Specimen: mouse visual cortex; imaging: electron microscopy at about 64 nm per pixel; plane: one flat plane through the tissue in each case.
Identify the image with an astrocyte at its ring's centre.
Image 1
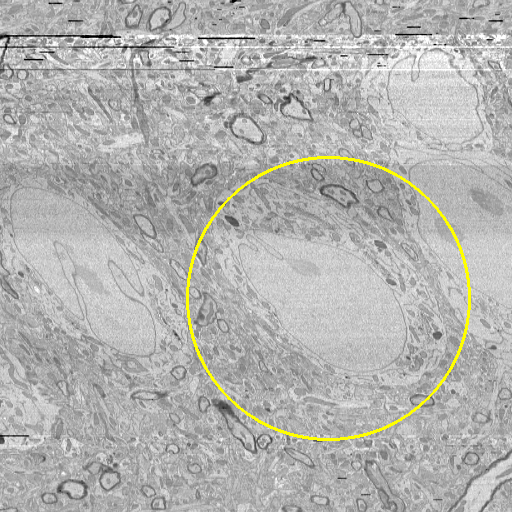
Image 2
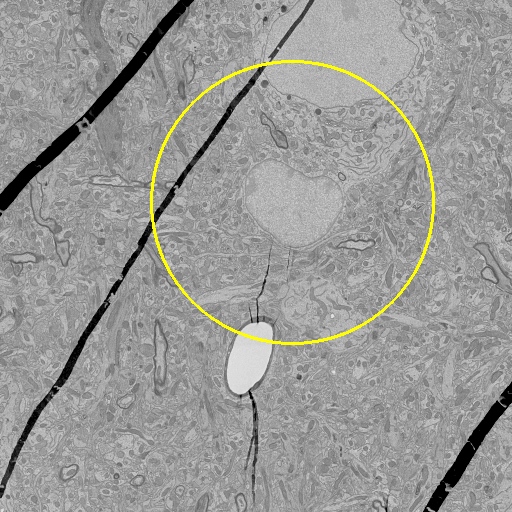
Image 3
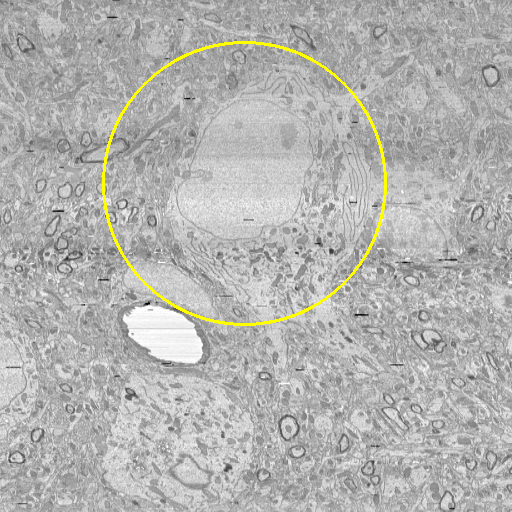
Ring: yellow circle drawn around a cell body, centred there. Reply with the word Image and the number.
Image 2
